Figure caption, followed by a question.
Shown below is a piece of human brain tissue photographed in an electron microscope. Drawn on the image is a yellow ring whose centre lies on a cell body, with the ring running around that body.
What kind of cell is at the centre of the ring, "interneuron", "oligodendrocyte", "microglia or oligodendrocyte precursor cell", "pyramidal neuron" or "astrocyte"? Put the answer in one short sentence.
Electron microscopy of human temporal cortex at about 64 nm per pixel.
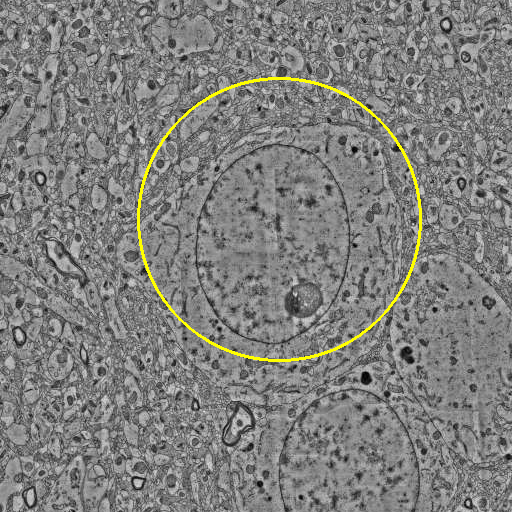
The ring marks the cell body of a pyramidal neuron.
